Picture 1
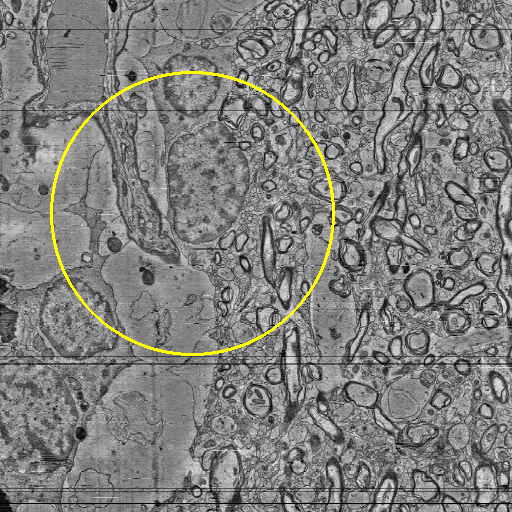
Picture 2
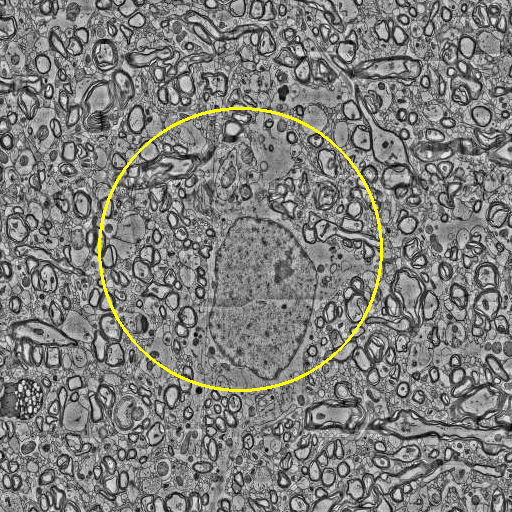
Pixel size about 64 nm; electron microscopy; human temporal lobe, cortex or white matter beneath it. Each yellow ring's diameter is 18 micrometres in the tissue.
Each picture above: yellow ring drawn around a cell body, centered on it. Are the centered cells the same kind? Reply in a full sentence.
No, the two cells are two kinds of cell.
